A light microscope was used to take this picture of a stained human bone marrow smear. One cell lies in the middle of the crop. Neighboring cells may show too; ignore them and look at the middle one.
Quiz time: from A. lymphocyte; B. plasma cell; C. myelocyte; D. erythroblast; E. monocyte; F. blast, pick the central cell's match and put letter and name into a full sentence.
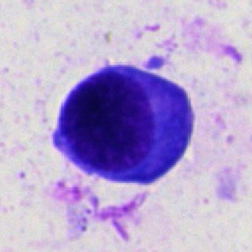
Option B is right, the centrally situated cell being a plasma cell.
